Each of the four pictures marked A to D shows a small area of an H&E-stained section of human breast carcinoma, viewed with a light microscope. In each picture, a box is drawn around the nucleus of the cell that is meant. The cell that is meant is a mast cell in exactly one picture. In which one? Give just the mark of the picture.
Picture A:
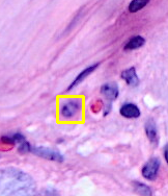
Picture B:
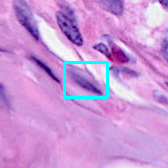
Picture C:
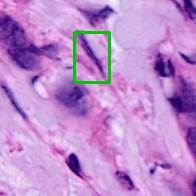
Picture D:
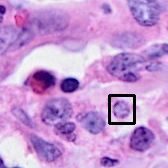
A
